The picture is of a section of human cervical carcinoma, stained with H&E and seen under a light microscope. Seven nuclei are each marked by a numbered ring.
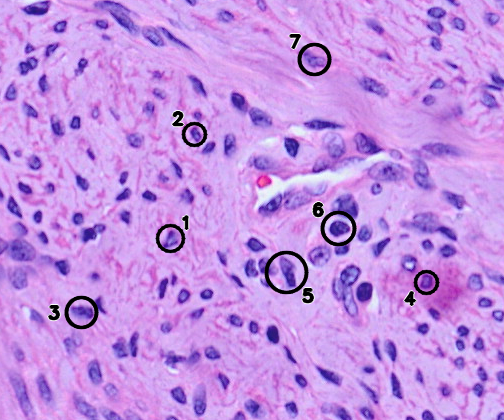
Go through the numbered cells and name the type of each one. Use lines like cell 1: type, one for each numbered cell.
cell 1: smooth muscle cell
cell 2: smooth muscle cell
cell 3: fibroblast
cell 4: smooth muscle cell
cell 5: fibroblast
cell 6: lymphocyte
cell 7: smooth muscle cell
